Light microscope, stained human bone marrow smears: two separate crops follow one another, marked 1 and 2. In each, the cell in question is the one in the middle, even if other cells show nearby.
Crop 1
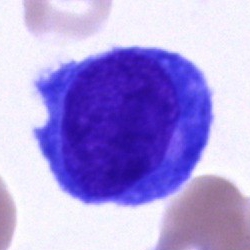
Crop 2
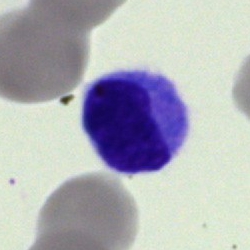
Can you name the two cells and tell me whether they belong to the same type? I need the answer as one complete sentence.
No, crop 1 shows a blast, and crop 2, by contrast, shows a lymphocyte.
